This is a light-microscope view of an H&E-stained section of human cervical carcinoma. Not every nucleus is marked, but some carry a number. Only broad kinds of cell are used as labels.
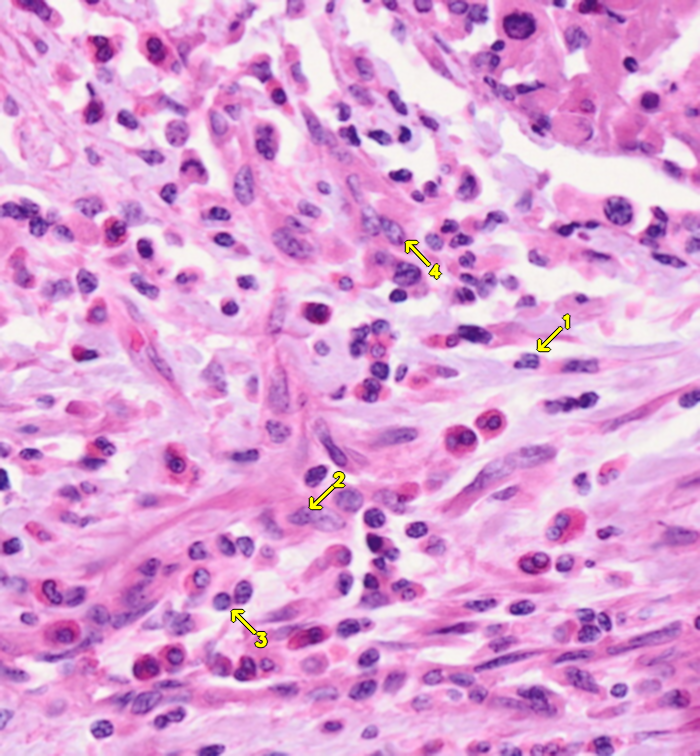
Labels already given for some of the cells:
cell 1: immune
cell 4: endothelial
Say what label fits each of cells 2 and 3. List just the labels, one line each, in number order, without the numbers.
endothelial
immune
